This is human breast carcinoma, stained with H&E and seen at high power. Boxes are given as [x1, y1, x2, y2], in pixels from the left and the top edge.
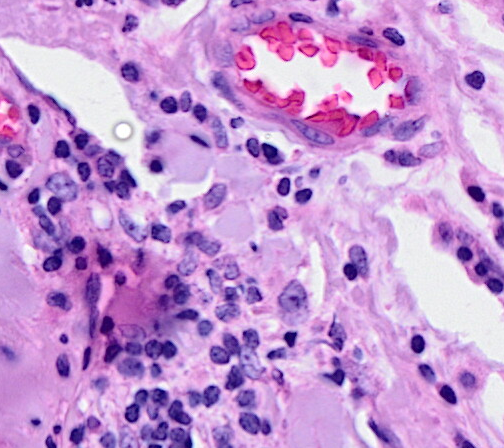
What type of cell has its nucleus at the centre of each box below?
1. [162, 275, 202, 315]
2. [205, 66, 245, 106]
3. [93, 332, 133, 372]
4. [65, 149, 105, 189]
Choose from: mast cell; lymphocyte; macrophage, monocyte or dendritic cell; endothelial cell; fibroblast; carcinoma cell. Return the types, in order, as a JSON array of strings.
["lymphocyte", "endothelial cell", "lymphocyte", "lymphocyte"]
